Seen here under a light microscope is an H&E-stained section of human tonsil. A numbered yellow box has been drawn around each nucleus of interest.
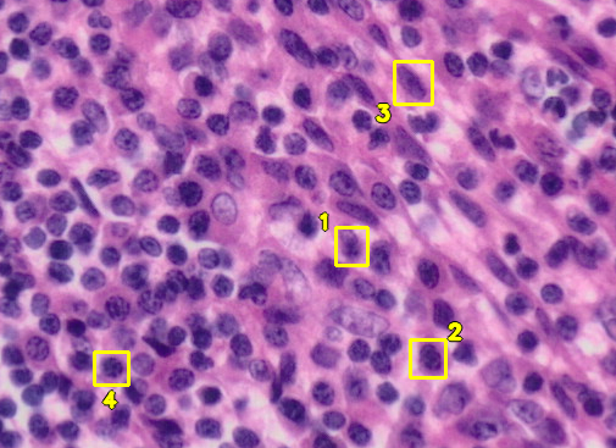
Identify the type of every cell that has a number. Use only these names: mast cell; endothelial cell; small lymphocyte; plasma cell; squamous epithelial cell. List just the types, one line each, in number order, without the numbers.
plasma cell
plasma cell
squamous epithelial cell
plasma cell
